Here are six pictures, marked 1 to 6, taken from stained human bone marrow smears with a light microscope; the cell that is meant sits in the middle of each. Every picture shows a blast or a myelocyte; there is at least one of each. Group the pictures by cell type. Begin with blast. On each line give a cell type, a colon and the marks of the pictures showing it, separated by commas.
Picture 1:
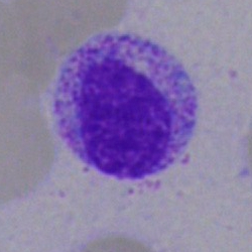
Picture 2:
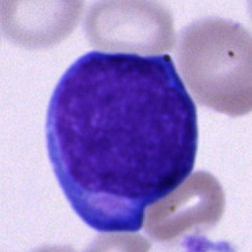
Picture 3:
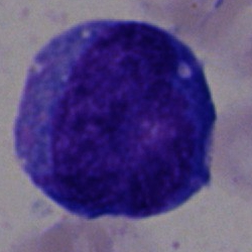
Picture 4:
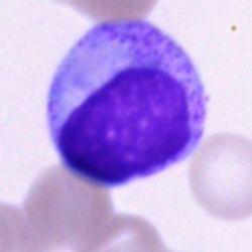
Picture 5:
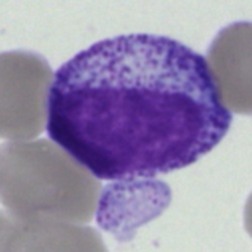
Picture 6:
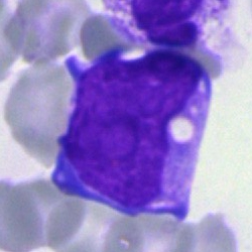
blast: 2, 3, 6
myelocyte: 1, 4, 5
